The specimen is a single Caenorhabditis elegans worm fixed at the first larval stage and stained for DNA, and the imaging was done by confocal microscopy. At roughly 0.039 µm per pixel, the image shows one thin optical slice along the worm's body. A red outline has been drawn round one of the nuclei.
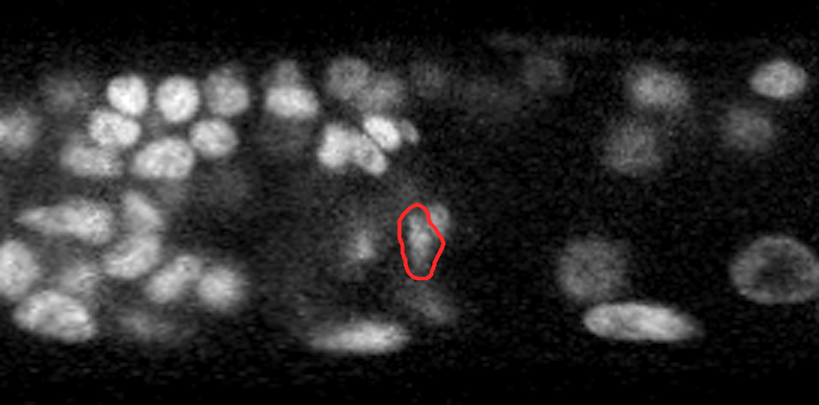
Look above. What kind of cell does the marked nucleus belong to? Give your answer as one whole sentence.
The cell with the marked nucleus is a valve cell of the gut.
